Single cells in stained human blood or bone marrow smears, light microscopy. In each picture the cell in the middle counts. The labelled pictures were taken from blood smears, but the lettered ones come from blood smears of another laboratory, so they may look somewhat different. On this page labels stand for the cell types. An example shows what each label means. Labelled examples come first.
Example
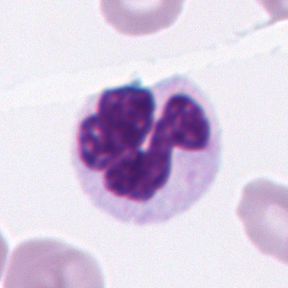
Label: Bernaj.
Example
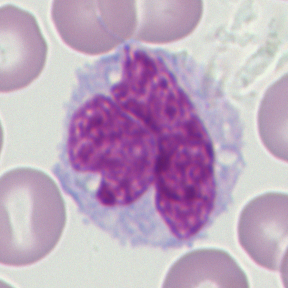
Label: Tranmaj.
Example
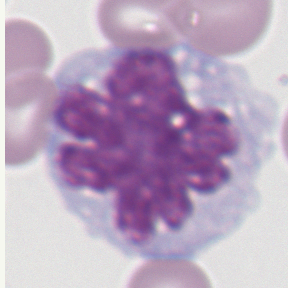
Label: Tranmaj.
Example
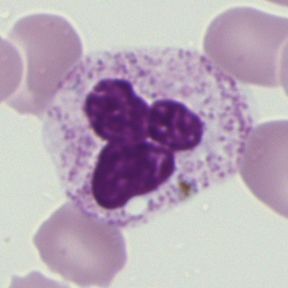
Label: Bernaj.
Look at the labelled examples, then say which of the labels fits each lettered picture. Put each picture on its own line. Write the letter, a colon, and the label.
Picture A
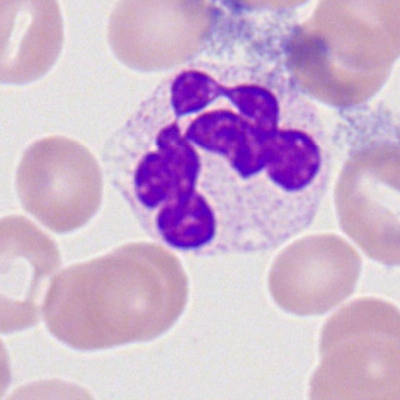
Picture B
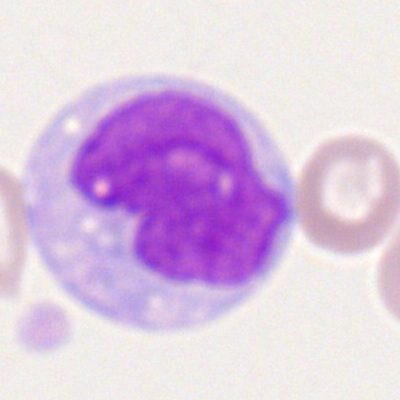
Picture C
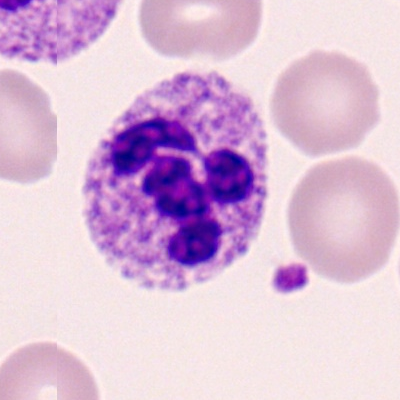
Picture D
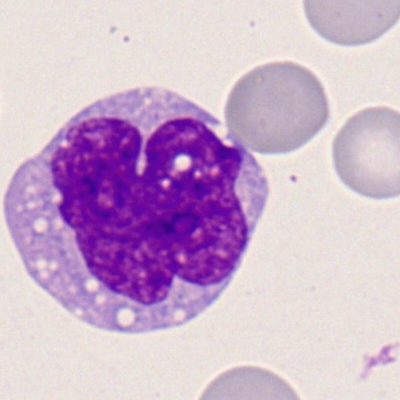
A: Bernaj.
B: Tranmaj.
C: Bernaj.
D: Tranmaj.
